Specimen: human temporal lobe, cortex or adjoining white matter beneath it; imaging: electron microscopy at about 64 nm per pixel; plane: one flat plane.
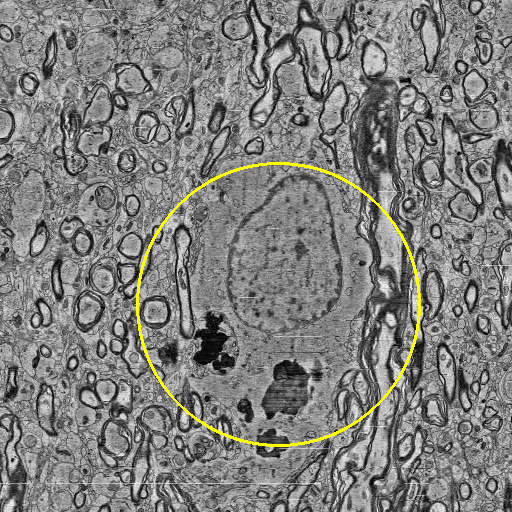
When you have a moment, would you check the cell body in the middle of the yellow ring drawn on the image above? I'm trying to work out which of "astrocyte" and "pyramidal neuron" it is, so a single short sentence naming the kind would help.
This cell body belongs to an astrocyte.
